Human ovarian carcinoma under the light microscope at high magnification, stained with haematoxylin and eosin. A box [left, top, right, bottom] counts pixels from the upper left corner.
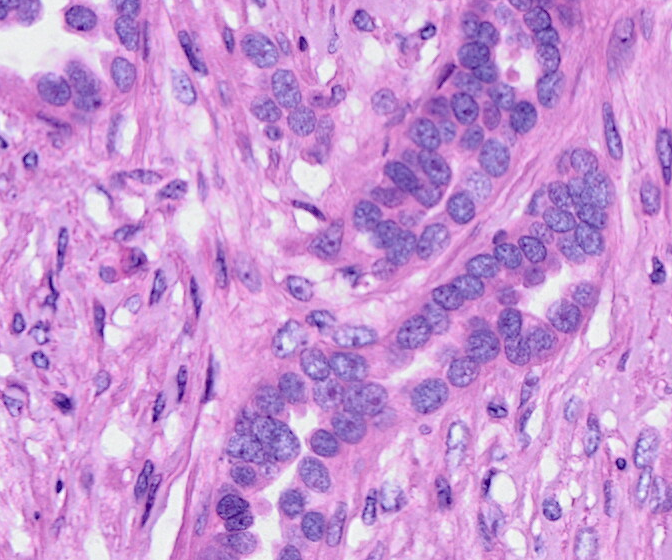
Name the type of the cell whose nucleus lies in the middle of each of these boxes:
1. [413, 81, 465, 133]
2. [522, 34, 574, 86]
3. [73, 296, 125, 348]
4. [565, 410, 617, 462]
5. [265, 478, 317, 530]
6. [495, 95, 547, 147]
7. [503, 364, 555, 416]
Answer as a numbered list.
1. carcinoma cell
2. carcinoma cell
3. fibroblast
4. fibroblast
5. carcinoma cell
6. carcinoma cell
7. fibroblast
